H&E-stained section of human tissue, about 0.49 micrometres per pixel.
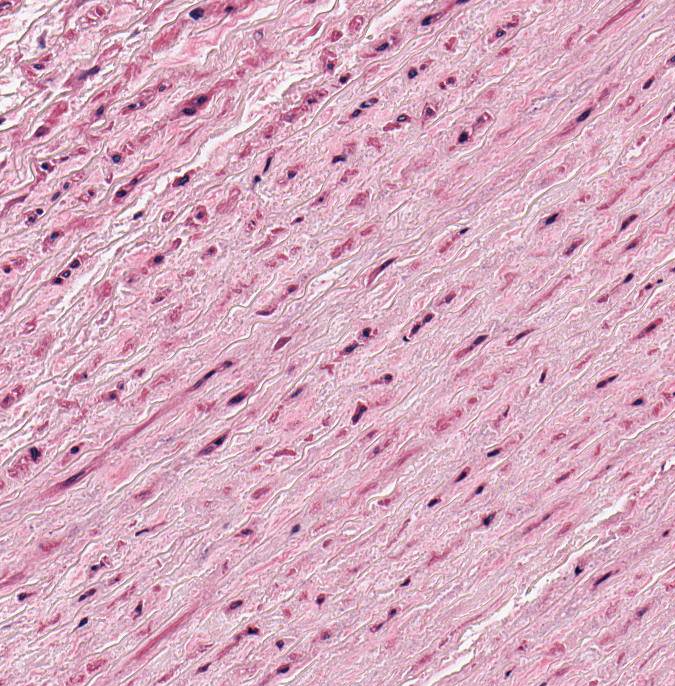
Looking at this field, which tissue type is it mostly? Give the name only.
tunica media of an artery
